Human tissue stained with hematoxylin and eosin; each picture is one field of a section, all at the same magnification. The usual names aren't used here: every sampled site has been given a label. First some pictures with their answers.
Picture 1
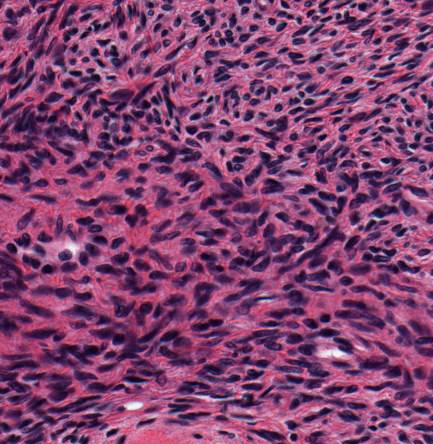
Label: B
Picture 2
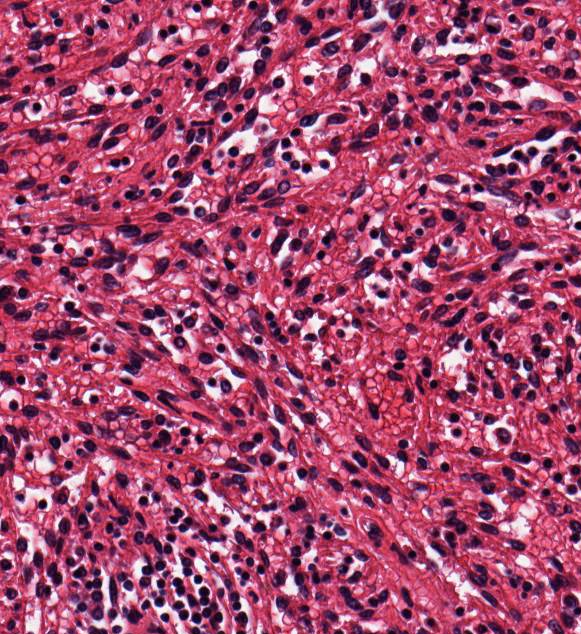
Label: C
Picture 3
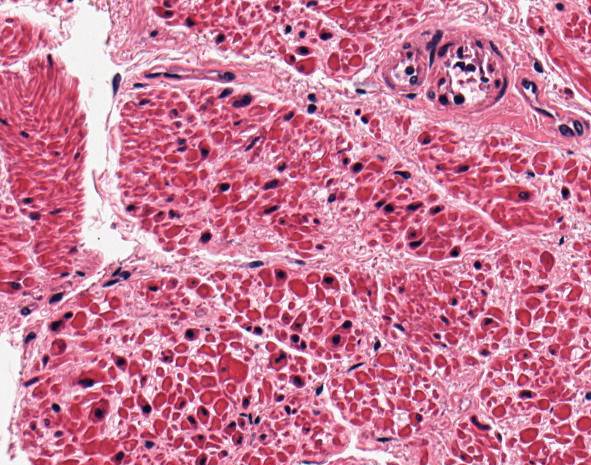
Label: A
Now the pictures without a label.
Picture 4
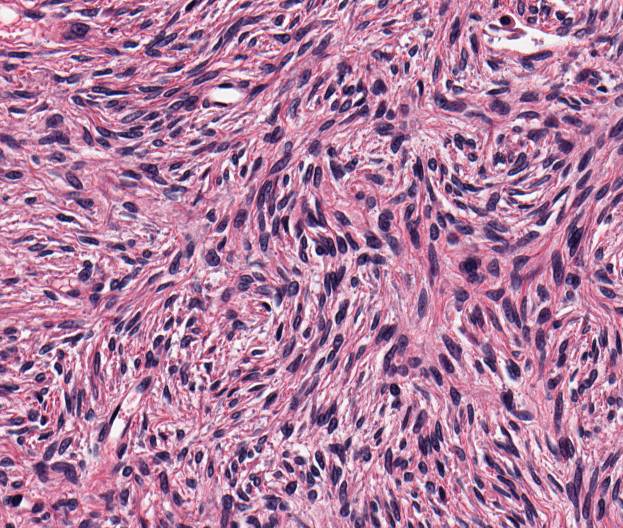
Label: B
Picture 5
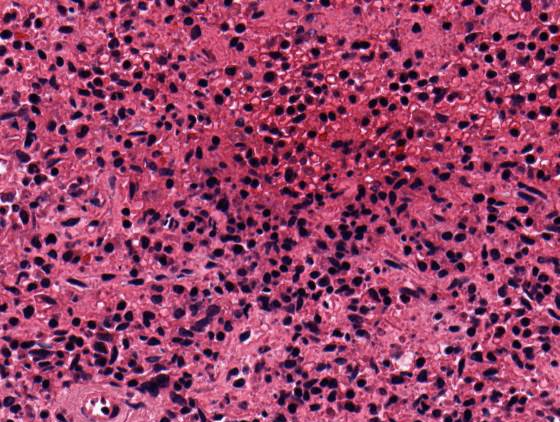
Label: C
